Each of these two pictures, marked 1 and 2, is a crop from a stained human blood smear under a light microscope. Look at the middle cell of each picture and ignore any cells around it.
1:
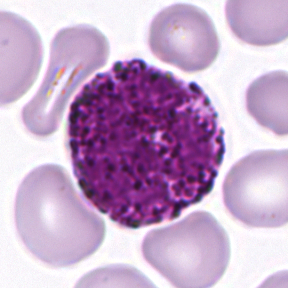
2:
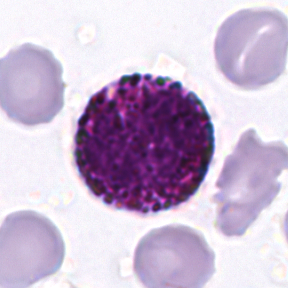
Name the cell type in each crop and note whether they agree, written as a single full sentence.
Yes, the central cells in both of the crops are basophils.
